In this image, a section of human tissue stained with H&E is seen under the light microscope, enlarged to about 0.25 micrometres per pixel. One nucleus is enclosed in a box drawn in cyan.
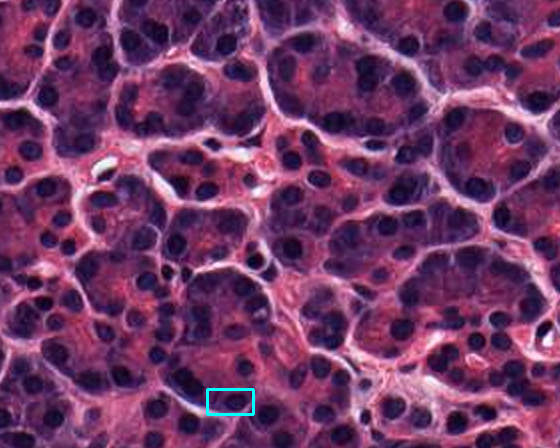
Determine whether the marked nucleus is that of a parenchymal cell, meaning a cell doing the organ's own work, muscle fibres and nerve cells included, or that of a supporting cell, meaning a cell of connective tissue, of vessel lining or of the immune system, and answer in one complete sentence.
The marked nucleus is that of a cell of the parenchyma, namely a pancreatic acinar cell.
